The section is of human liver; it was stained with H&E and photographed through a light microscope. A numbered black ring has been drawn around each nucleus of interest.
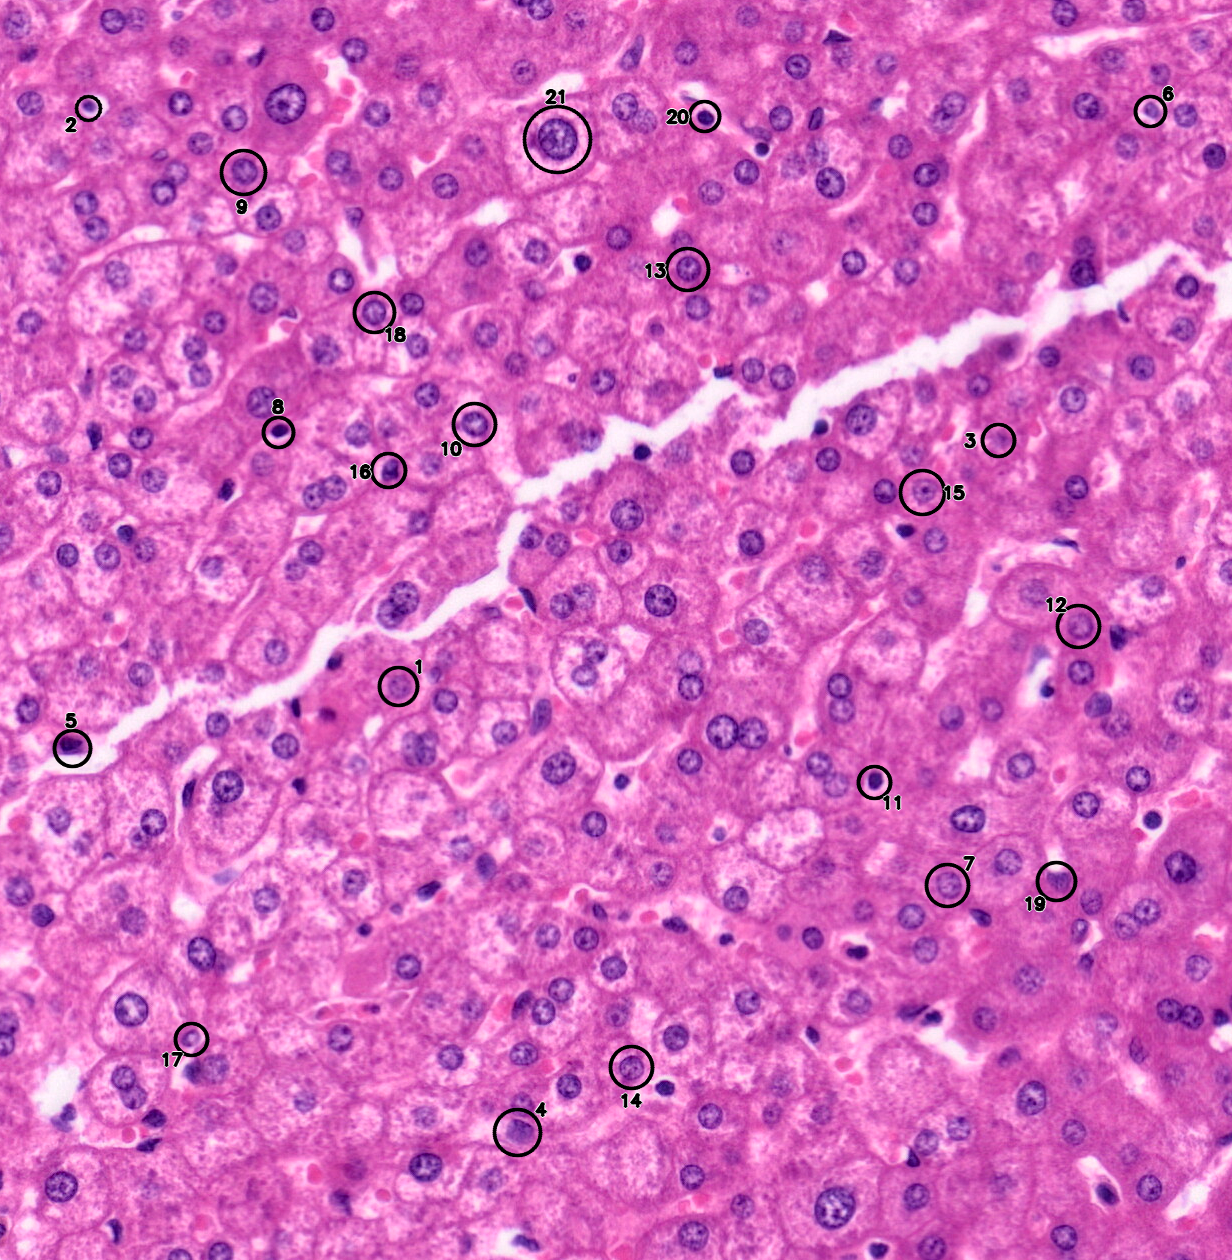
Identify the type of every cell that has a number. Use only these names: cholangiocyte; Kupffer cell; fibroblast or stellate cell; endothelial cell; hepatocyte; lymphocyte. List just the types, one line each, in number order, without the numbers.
hepatocyte
lymphocyte
hepatocyte
endothelial cell
Kupffer cell
lymphocyte
hepatocyte
lymphocyte
hepatocyte
hepatocyte
lymphocyte
hepatocyte
hepatocyte
hepatocyte
hepatocyte
endothelial cell
Kupffer cell
hepatocyte
endothelial cell
lymphocyte
hepatocyte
